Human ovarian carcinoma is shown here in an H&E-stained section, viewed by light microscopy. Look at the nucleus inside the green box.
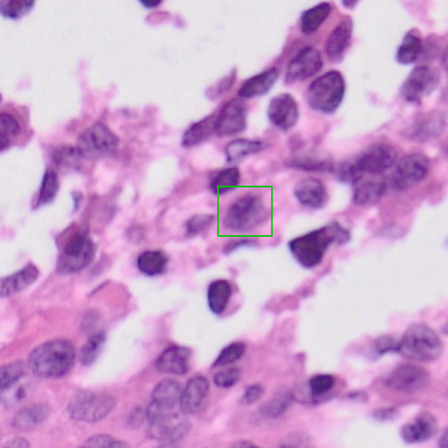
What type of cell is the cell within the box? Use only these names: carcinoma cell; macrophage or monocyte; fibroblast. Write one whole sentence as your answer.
Typologically, the cell within the box is a carcinoma cell in this section.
